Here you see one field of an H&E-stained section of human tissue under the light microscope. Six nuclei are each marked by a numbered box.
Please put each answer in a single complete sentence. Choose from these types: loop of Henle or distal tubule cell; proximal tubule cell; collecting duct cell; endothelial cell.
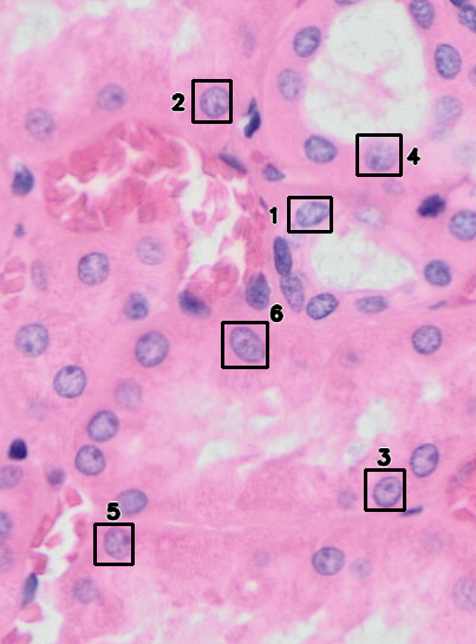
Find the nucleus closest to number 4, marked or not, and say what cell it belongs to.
The cell nearest to number 4 is a loop of Henle or distal tubule cell.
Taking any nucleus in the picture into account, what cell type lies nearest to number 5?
The nearest nucleus to number 5 belongs to a proximal tubule cell.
